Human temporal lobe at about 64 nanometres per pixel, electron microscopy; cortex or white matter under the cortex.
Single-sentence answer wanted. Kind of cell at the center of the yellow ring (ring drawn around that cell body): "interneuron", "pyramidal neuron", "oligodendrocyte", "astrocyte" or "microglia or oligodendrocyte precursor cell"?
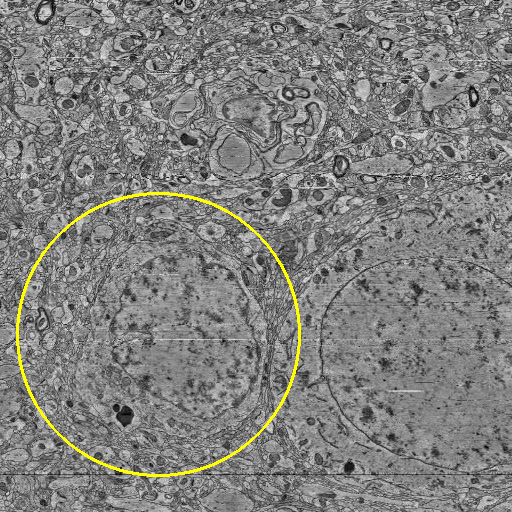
The cell centered in the ring is an interneuron.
